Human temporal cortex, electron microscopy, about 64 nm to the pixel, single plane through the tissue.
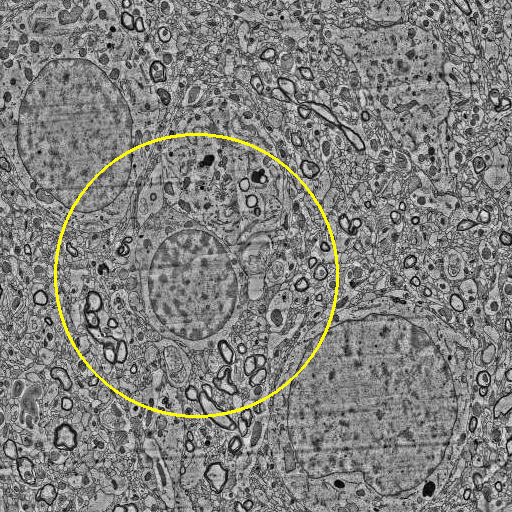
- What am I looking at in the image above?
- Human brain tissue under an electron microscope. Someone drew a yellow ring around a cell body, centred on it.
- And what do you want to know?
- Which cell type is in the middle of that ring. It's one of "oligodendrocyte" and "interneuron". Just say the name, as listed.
oligodendrocyte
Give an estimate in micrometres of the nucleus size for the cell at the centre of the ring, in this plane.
The nucleus measures about 7 by 6 micrometres in this plane.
